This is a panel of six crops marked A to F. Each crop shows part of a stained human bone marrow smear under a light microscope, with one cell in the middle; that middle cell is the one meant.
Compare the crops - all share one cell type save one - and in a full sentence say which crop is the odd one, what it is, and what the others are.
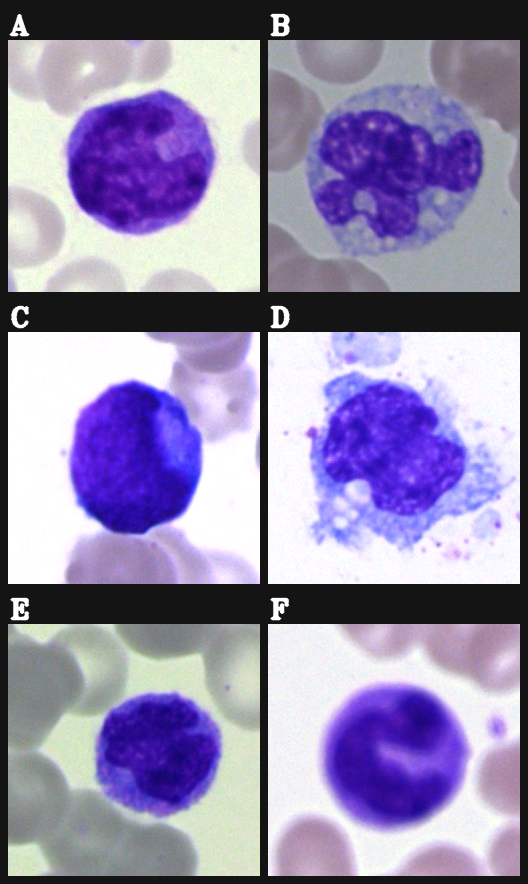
The crop that differs is crop C, showing a blast; the others show monocytes.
